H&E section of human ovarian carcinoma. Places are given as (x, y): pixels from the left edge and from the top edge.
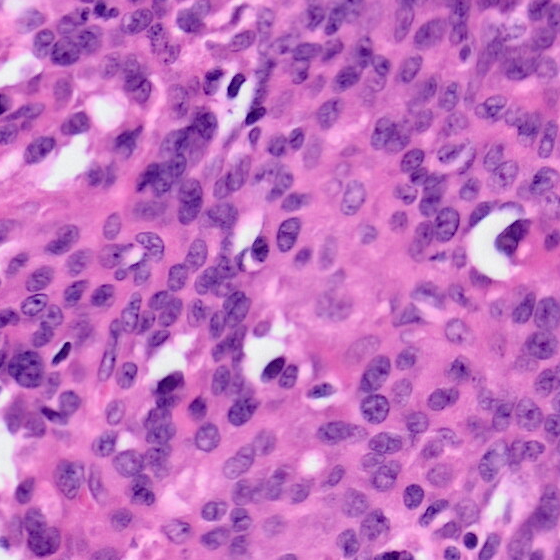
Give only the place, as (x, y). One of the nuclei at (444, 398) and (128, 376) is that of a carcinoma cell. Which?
(444, 398)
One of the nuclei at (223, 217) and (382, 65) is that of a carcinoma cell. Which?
(223, 217)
